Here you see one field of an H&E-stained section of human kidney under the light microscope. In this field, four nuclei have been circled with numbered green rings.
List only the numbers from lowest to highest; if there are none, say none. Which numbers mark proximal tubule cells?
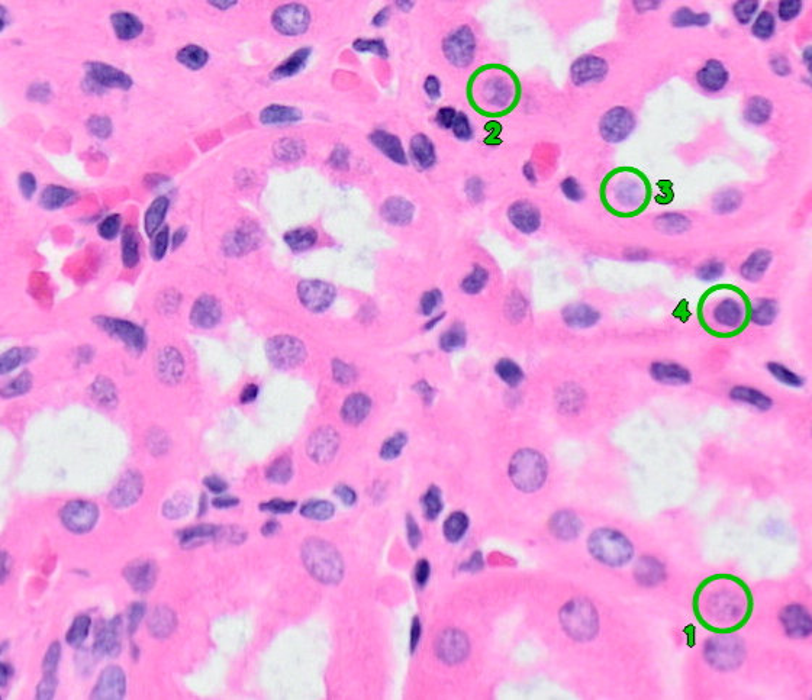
1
